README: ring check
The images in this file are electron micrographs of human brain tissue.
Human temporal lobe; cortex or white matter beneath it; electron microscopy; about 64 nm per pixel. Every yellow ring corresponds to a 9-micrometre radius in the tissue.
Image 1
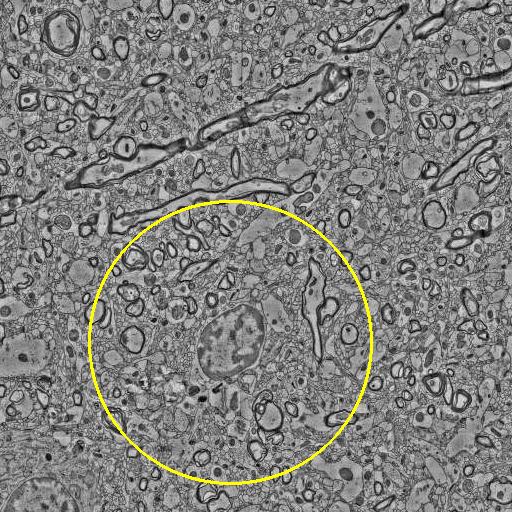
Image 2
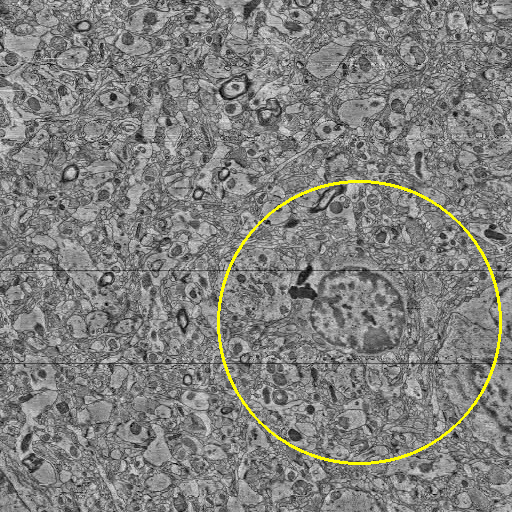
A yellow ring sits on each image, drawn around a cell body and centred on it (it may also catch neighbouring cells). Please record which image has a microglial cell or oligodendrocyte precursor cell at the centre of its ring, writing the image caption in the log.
Image 1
